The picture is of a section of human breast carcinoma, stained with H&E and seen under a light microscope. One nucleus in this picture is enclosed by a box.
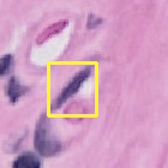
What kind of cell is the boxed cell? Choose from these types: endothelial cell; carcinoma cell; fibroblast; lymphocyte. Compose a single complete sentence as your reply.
As a matter of cell type, the boxed cell is an endothelial cell.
